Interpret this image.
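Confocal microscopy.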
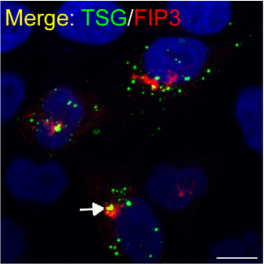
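Several cultured cells with large blue oval nuclei are seen; in some, red staining gathers in a dense patch beside the nucleus along with finer red puncta. Numerous green dots are scattered in the cytoplasm, and where the green and red overlap in the perinuclear patch the colour appears yellow.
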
